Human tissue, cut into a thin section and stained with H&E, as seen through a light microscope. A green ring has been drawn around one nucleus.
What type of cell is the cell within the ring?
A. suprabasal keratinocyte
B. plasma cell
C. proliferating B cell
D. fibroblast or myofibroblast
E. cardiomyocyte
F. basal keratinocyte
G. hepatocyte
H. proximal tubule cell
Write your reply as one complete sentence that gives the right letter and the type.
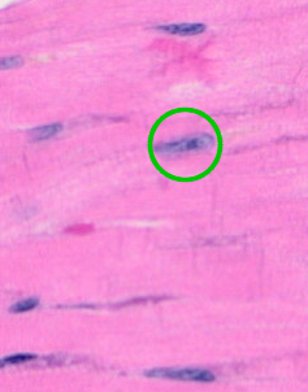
That the cell within the ring is a cardiomyocyte makes option E the correct choice.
